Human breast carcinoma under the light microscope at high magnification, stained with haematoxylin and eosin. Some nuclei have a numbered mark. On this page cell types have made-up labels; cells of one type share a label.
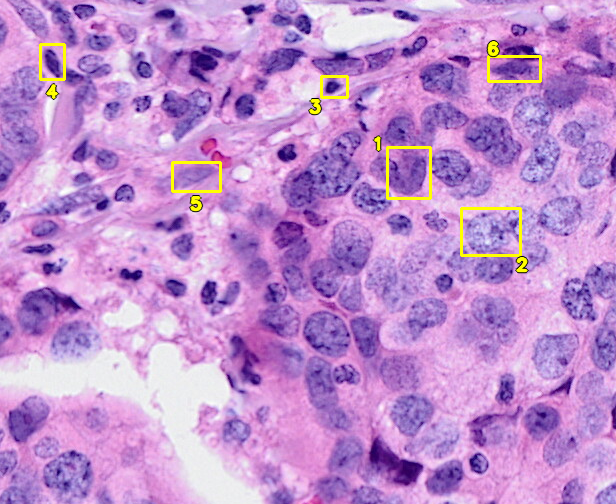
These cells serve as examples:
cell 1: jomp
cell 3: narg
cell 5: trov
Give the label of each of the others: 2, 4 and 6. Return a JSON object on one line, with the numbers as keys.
{"2": "jomp", "4": "narg", "6": "jomp"}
